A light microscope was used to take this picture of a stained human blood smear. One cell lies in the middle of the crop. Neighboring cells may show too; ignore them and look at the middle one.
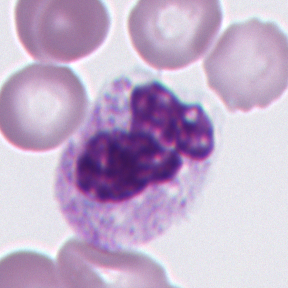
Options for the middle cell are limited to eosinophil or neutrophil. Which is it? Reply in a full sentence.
The cell sitting right in the middle is a neutrophil.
